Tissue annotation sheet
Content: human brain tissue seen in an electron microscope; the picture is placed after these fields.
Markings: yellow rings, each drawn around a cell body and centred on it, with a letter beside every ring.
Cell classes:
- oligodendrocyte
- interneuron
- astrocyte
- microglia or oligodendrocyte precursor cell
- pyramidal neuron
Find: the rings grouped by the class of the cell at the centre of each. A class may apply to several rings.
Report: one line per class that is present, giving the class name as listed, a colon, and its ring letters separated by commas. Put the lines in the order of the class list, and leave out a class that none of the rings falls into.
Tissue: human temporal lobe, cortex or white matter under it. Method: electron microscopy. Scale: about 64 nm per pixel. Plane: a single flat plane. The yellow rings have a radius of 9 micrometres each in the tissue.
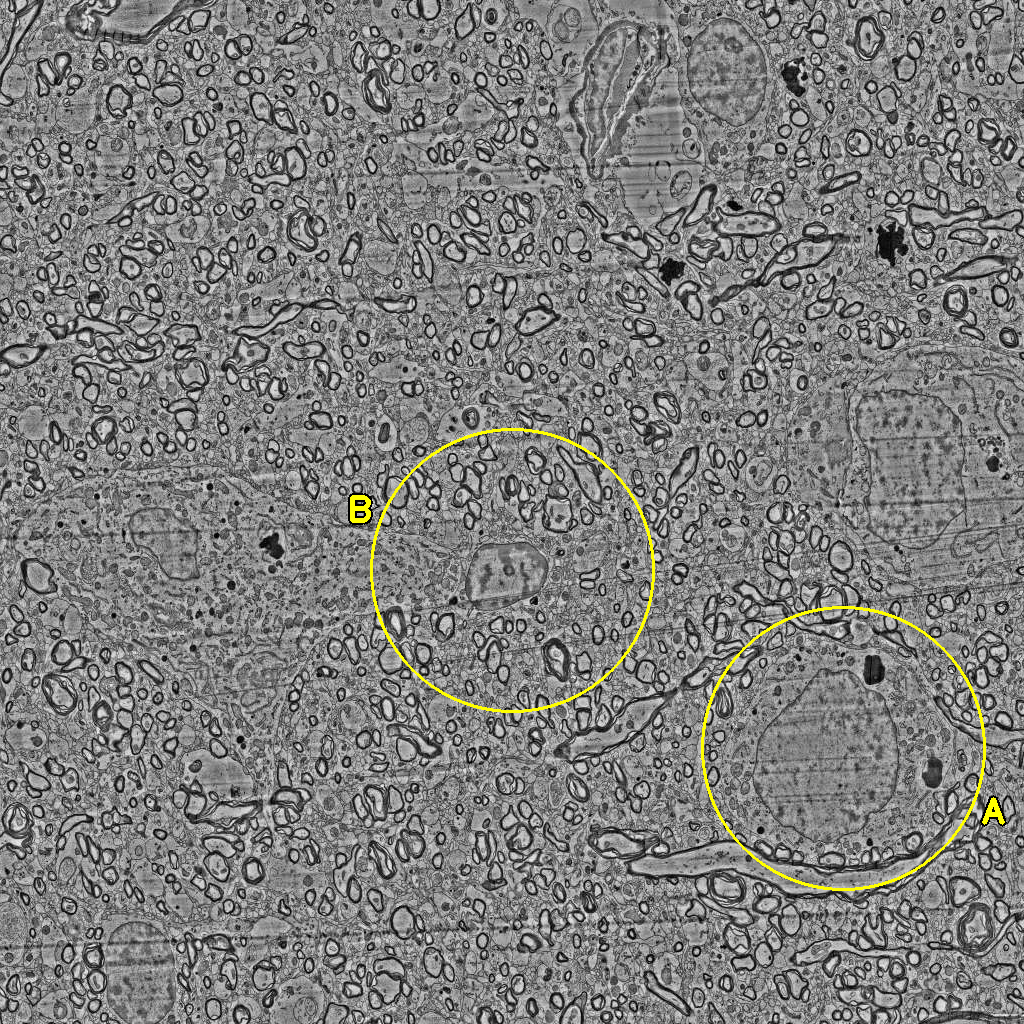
interneuron: A
microglia or oligodendrocyte precursor cell: B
